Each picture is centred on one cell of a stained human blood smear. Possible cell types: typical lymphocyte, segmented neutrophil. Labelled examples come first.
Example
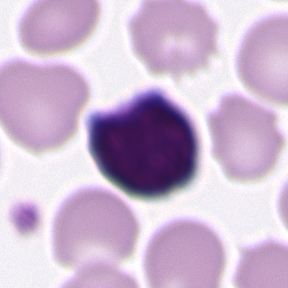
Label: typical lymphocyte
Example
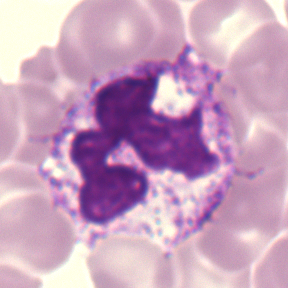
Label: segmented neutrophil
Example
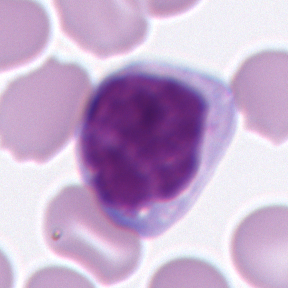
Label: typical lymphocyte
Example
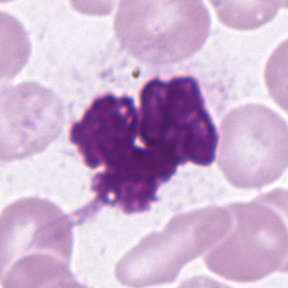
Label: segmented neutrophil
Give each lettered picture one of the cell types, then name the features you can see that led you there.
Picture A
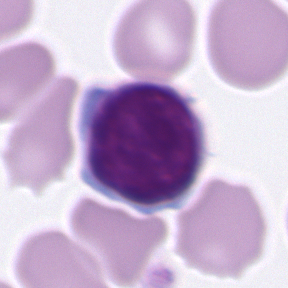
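typical lymphocyte: The cytoplasm is only a thin rim around the nucleus.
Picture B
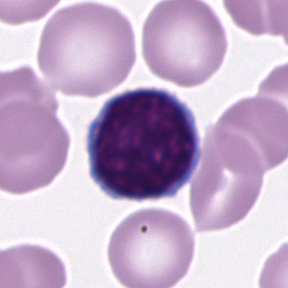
typical lymphocyte: The cytoplasm forms only a thin rim around the nucleus.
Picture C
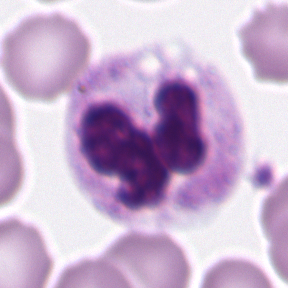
segmented neutrophil: The cytoplasm is abundant and pale pinkish-lilac.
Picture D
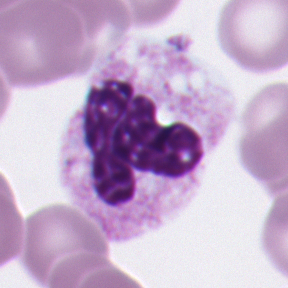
segmented neutrophil: The cytoplasm is abundant and pale pinkish-lilac.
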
